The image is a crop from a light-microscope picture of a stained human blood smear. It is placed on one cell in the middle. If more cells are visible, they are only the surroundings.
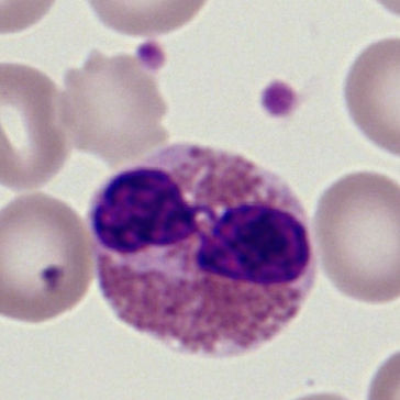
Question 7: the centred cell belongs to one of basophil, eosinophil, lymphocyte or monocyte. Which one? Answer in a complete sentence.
Whatever else lies nearby, the middle cell is an eosinophil.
